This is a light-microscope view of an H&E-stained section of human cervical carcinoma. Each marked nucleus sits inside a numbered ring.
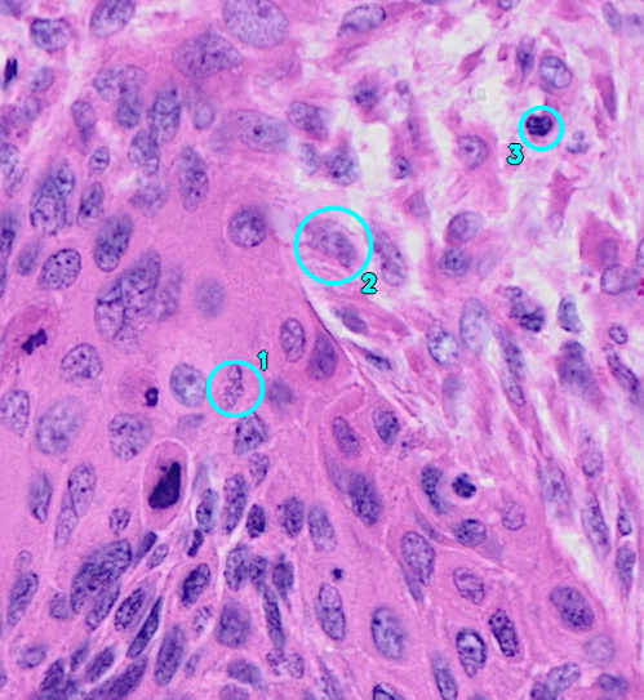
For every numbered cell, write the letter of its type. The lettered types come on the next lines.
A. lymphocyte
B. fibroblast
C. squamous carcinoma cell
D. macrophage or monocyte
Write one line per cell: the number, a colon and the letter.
1: C
2: B
3: A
